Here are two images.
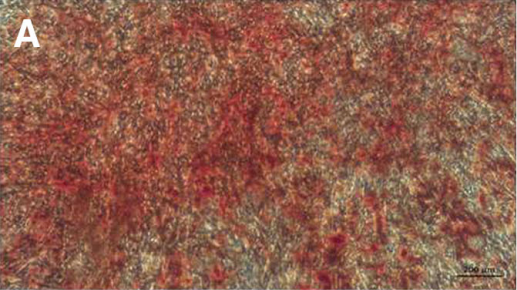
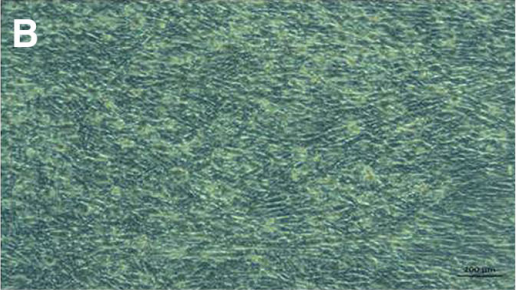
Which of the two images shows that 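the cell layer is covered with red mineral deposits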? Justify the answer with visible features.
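Second image: a blue-green layer of spindle-shaped cells with no red material. First image: dense red and red-orange deposits over most of the cell layer. On this evidence: the first image.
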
